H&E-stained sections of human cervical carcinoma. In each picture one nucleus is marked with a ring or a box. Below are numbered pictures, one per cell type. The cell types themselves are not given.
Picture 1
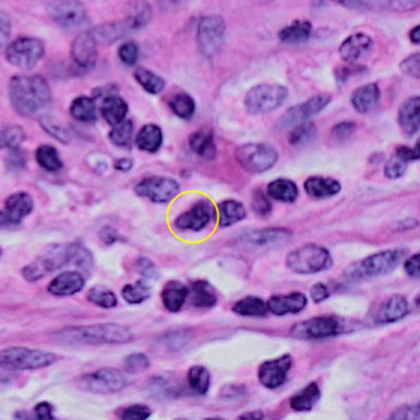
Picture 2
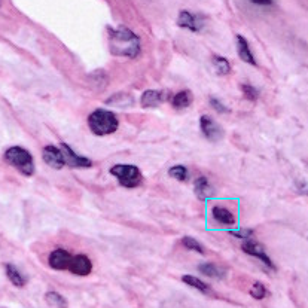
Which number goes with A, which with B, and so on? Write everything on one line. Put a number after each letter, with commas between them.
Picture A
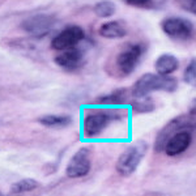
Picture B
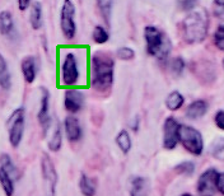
A 1, B 1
